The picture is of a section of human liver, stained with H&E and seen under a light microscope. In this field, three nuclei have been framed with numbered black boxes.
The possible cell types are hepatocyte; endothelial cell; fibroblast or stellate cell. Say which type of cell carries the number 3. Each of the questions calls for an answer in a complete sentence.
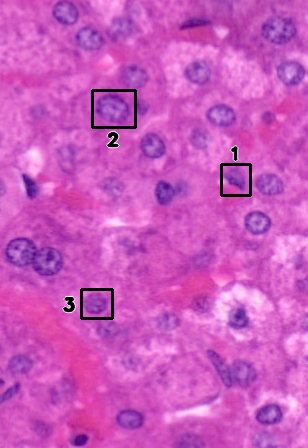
The cell indicated with the number 3 is classed as a hepatocyte.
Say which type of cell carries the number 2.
The numeral 2 marks a hepatocyte in this section.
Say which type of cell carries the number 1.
Of the numbered cells, the one labelled 1 is an endothelial cell.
